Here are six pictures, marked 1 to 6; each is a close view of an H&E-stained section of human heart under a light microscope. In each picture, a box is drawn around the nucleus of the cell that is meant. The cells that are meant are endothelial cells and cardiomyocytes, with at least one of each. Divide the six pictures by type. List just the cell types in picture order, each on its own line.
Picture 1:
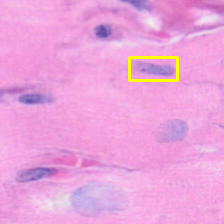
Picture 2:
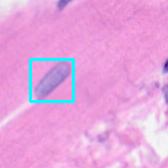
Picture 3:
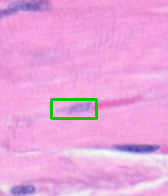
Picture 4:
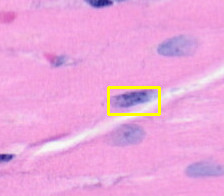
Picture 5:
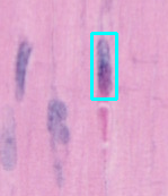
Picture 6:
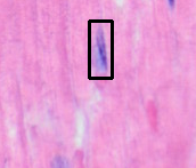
cardiomyocyte
cardiomyocyte
endothelial cell
endothelial cell
endothelial cell
endothelial cell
